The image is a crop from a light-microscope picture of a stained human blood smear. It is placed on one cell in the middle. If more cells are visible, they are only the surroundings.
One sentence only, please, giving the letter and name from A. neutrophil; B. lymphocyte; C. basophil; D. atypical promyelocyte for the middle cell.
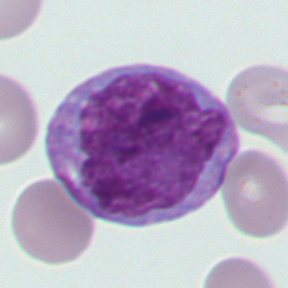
What option D states is correct, the central cell being an atypical promyelocyte.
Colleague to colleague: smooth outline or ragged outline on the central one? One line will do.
Happy to help: the outline is smooth and shows no projections.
